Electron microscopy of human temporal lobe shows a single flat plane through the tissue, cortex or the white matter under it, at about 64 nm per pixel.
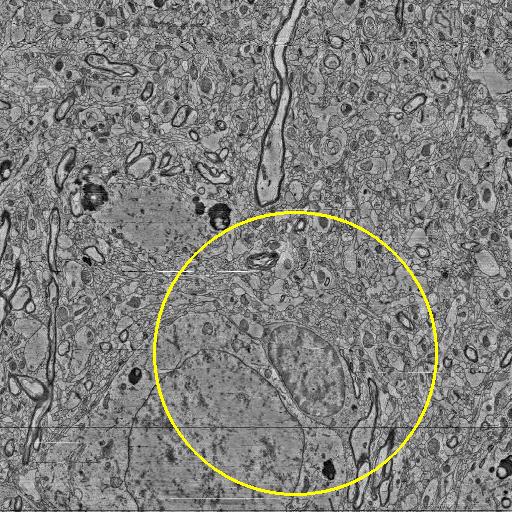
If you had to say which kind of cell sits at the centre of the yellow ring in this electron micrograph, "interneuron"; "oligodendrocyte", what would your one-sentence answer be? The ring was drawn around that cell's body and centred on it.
The cell sitting at the centre of the ring is an oligodendrocyte.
